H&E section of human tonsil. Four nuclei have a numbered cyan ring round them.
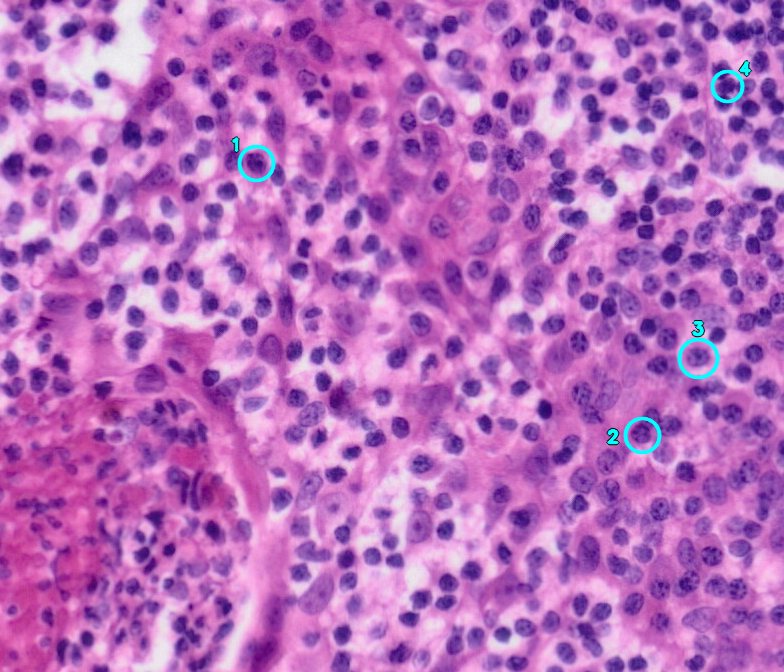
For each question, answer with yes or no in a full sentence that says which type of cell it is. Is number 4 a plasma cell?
No, cell 4 represents a small lymphocyte rather than a plasma cell.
